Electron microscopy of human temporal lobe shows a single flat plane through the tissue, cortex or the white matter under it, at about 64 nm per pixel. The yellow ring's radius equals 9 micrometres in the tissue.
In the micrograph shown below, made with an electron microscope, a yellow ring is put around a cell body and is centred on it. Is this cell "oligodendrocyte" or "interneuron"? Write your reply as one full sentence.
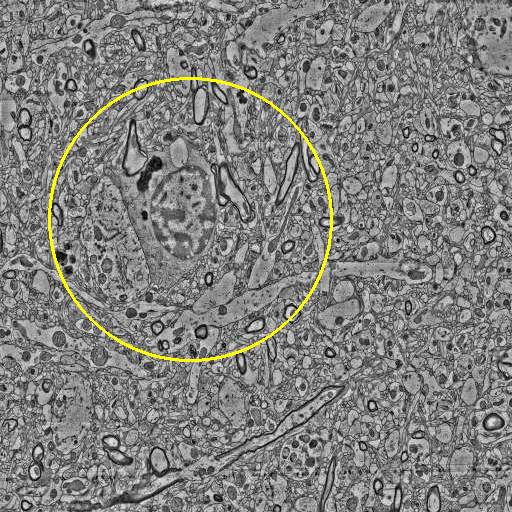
In the micrograph, an oligodendrocyte is the cell at the centre of the yellow ring.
